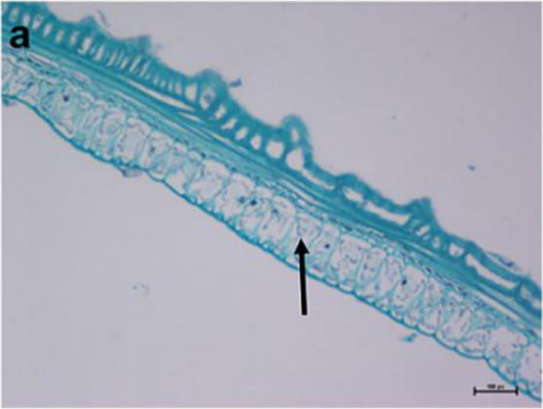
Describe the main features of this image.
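The outer surface bears regularly spaced, projecting bumps whose walls stain heavily blue-green. Under the surface lie several rows of narrow, elongated cells with thick walls running along the length of the section. Deeper still is a regular row of small, roughly rectangular, thin-walled parenchyma cells of fairly even size, some with small dark dots inside.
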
